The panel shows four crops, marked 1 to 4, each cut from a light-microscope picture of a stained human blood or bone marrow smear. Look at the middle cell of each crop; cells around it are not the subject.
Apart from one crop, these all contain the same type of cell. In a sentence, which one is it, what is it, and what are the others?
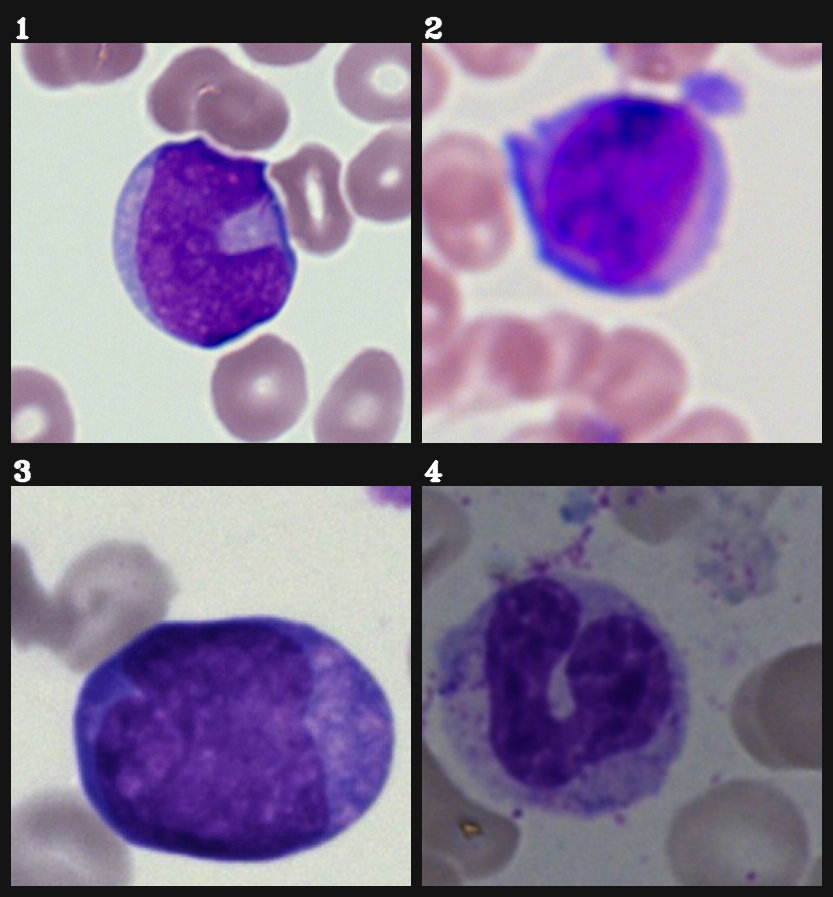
Crop 4 is the one to flag: it is a monocyte, and the rest show blasts.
